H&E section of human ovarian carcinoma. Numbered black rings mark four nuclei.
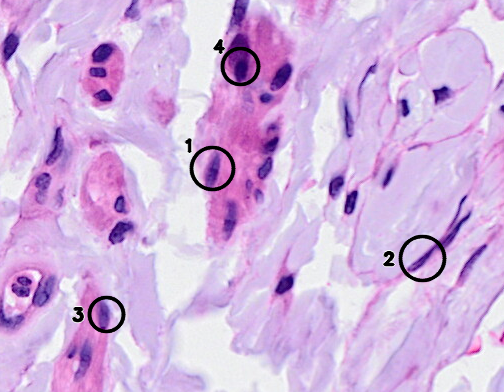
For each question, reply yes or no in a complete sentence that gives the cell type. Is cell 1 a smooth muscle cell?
Yes, the cell distinguished by number 1 is a smooth muscle cell.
